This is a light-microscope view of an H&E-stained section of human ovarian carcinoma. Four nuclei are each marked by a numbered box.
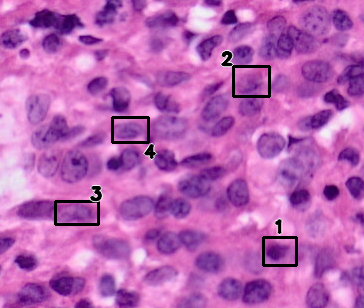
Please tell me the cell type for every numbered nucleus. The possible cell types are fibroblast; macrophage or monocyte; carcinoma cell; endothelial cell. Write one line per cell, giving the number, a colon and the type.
1: carcinoma cell
2: carcinoma cell
3: endothelial cell
4: carcinoma cell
